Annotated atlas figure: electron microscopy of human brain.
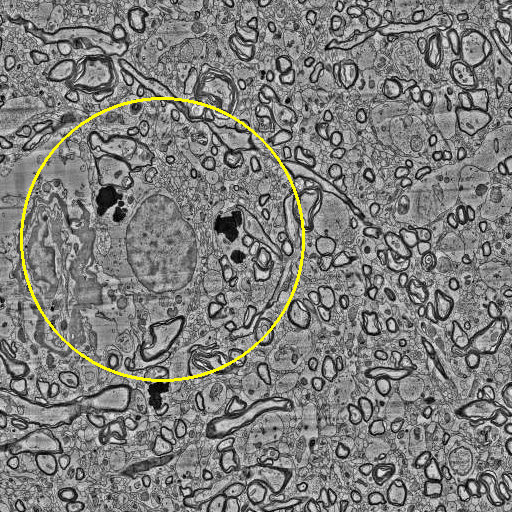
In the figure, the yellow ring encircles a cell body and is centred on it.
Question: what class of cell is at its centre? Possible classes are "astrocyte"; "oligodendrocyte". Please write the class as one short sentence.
The yellow ring is drawn around an oligodendrocyte.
